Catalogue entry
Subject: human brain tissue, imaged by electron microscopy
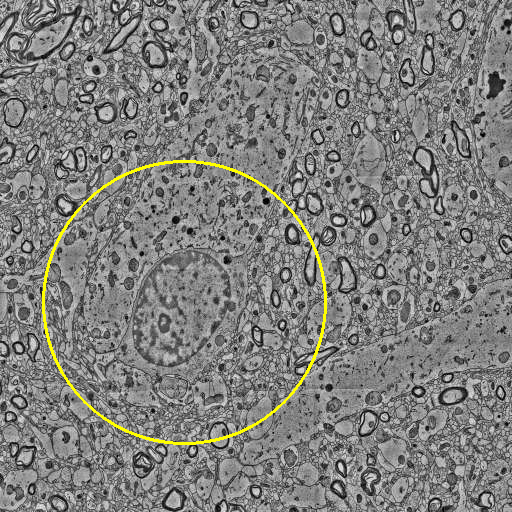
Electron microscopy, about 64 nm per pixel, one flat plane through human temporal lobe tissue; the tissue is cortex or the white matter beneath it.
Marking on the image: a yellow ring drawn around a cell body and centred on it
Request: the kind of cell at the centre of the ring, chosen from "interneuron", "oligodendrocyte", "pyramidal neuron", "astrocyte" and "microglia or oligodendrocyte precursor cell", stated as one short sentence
The ring has an oligodendrocyte at its centre.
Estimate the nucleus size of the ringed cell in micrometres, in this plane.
The ringed cell's nucleus is about 8 micrometres long and 5 micrometres wide in this plane.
